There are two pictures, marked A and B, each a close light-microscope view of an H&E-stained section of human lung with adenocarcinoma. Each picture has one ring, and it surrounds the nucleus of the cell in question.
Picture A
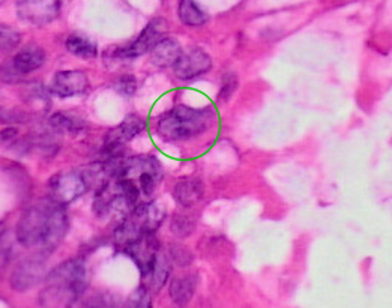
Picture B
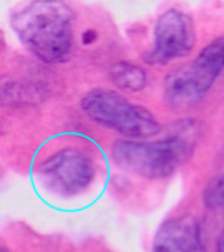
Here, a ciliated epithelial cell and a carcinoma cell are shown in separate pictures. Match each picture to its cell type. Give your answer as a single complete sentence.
It is picture A that shows a ciliated epithelial cell, and picture B that shows a carcinoma cell.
